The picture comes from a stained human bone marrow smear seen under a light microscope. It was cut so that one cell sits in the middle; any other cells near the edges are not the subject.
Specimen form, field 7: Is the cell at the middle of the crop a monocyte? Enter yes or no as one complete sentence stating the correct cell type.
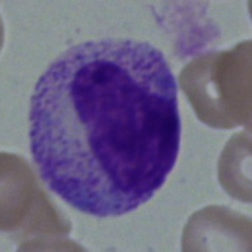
No, rather than a monocyte, the central cell is a myelocyte.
